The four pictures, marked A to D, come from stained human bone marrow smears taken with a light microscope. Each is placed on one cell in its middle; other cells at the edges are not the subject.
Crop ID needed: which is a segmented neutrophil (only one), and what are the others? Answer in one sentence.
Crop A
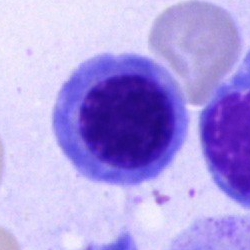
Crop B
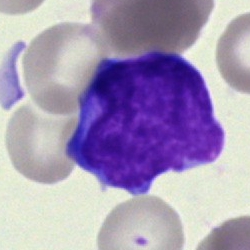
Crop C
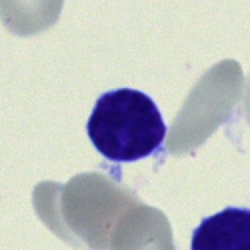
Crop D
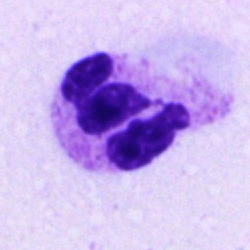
Placed in the middle of crop D is a segmented neutrophil, while crop A is an erythroblast, crop B is a blast and crop C is a lymphocyte.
